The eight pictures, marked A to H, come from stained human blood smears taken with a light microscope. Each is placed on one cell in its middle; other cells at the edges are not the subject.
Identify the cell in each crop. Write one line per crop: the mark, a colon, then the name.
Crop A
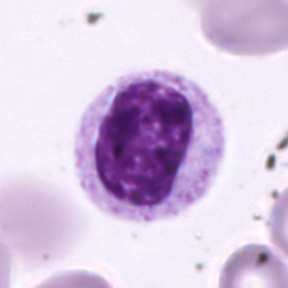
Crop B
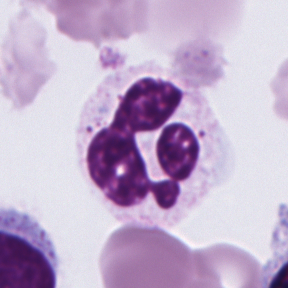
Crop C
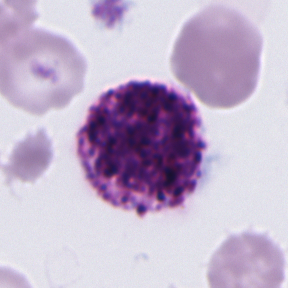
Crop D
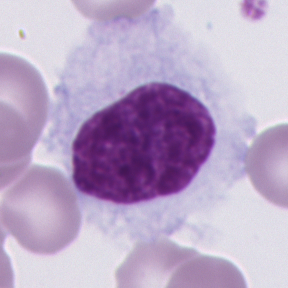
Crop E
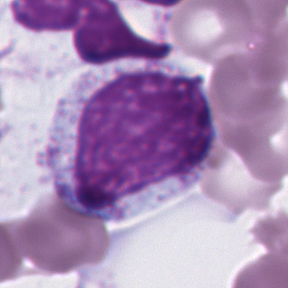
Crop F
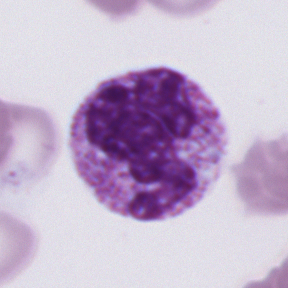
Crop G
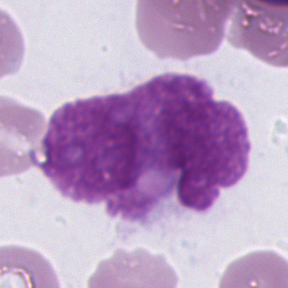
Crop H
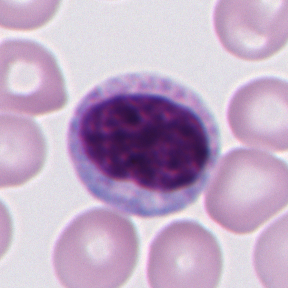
A: metamyelocyte
B: segmented neutrophil
C: basophil
D: hairy cell
E: myelocyte
F: segmented neutrophil
G: smudge cell
H: metamyelocyte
